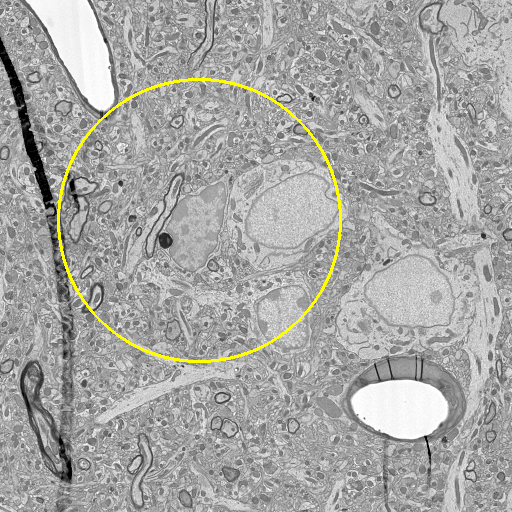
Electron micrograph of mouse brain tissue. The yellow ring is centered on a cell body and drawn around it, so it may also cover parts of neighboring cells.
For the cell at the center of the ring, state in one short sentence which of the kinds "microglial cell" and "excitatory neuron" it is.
This ring is centered on a microglial cell.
